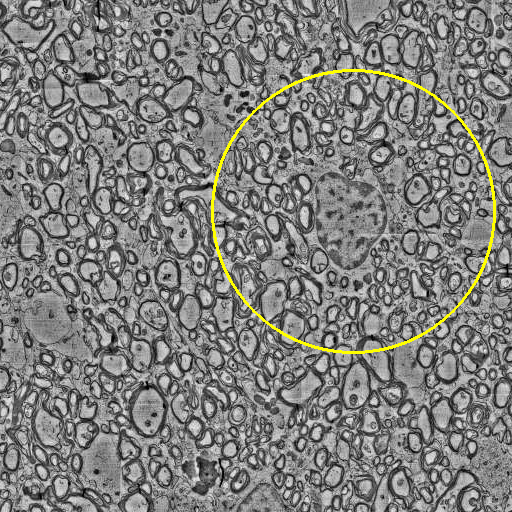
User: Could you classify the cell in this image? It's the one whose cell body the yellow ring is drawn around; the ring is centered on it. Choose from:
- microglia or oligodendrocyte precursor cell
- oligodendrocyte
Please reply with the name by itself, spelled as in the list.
microglia or oligodendrocyte precursor cell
